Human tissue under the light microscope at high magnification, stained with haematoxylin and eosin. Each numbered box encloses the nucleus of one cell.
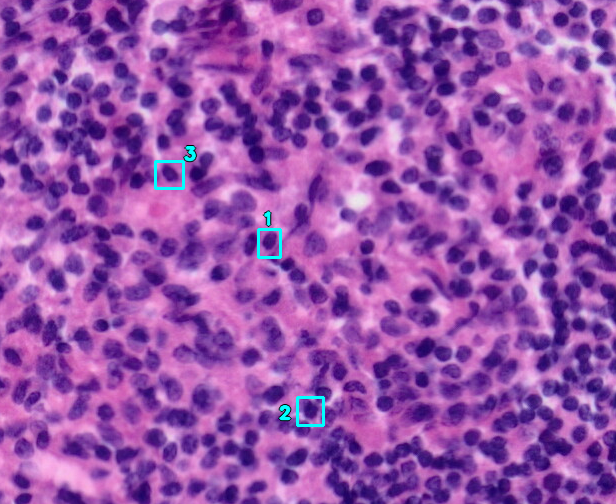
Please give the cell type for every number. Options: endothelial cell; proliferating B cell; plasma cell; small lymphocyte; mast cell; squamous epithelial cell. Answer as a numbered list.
1. plasma cell
2. small lymphocyte
3. plasma cell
